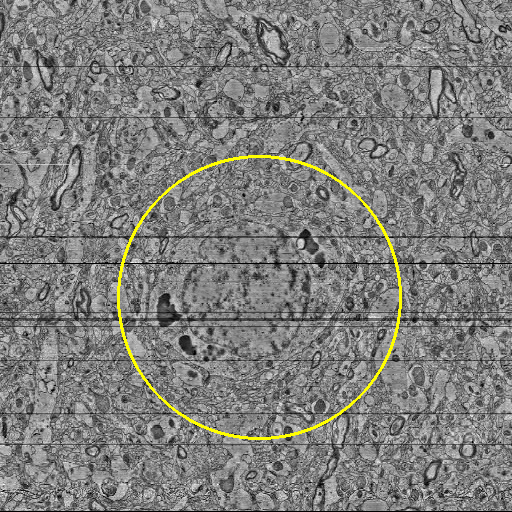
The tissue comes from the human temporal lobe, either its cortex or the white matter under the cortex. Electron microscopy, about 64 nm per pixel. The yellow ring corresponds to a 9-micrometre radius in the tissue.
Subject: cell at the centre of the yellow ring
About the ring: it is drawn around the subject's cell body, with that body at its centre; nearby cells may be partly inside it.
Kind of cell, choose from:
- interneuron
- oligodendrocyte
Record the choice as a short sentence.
The subject cell is an interneuron.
